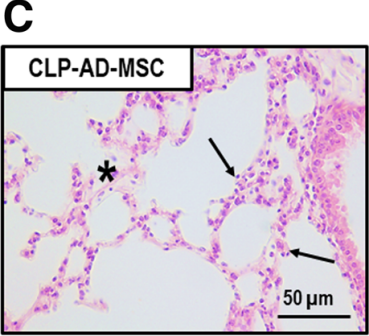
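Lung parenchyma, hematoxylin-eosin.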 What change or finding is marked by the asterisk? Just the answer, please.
alveolar collapse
